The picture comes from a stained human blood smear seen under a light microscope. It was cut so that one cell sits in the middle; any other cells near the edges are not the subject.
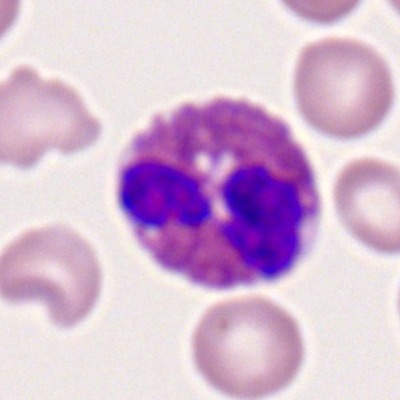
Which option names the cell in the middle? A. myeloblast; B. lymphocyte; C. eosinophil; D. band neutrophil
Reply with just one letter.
C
